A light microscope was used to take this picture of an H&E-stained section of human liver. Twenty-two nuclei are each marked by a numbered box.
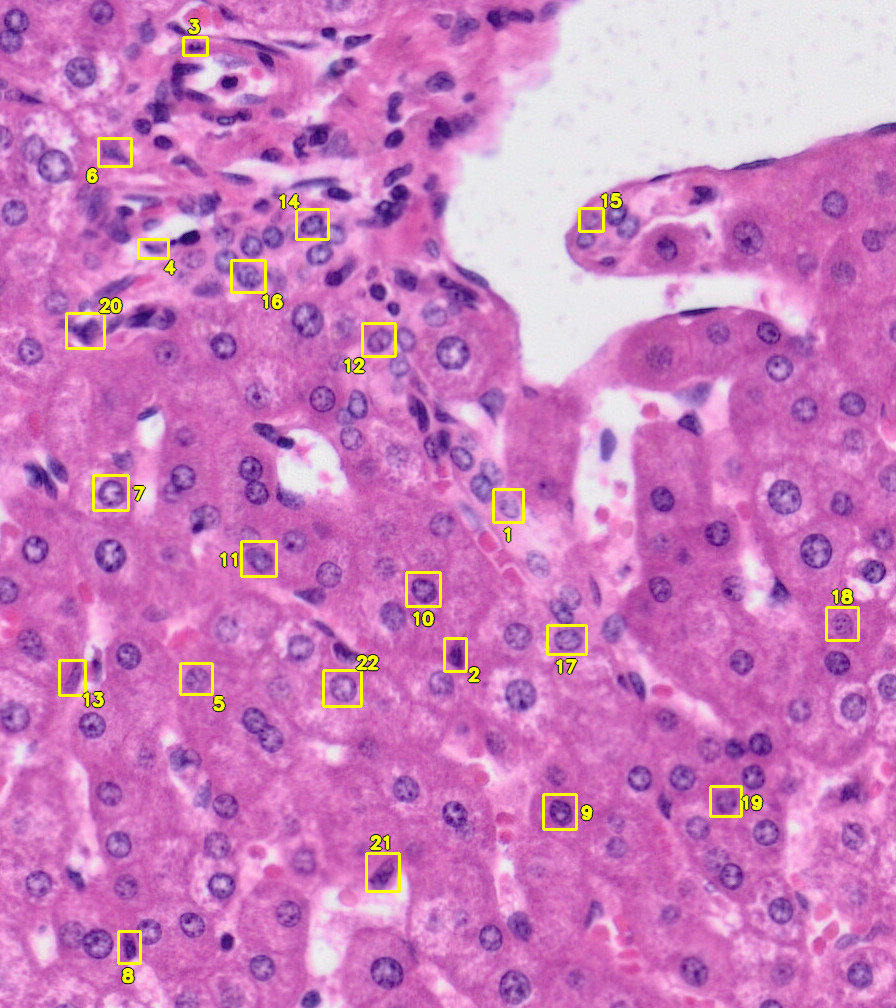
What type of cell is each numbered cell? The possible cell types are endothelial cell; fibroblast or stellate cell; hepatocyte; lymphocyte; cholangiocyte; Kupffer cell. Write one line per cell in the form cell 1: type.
cell 1: cholangiocyte
cell 2: fibroblast or stellate cell
cell 3: fibroblast or stellate cell
cell 4: fibroblast or stellate cell
cell 5: hepatocyte
cell 6: fibroblast or stellate cell
cell 7: hepatocyte
cell 8: fibroblast or stellate cell
cell 9: hepatocyte
cell 10: hepatocyte
cell 11: cholangiocyte
cell 12: cholangiocyte
cell 13: Kupffer cell
cell 14: cholangiocyte
cell 15: cholangiocyte
cell 16: cholangiocyte
cell 17: cholangiocyte
cell 18: hepatocyte
cell 19: hepatocyte
cell 20: fibroblast or stellate cell
cell 21: Kupffer cell
cell 22: hepatocyte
